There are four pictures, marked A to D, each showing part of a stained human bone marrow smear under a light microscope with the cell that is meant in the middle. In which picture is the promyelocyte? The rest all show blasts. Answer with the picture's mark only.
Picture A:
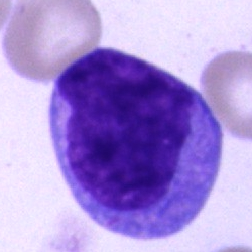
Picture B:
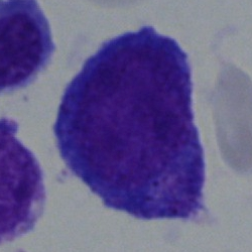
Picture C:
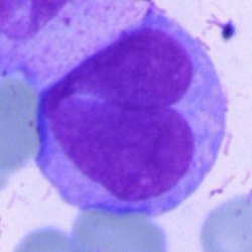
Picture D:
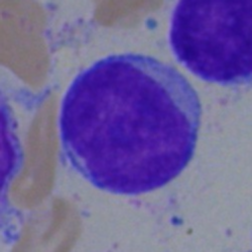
B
